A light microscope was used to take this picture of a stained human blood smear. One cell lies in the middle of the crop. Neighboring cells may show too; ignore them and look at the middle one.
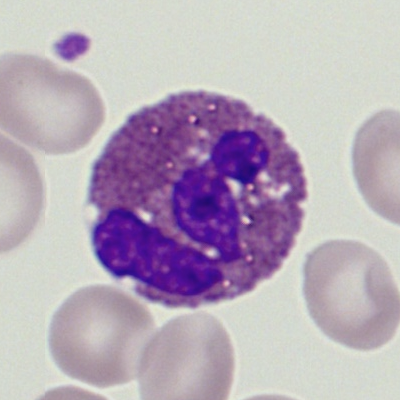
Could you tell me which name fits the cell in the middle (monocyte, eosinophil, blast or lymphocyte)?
eosinophil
